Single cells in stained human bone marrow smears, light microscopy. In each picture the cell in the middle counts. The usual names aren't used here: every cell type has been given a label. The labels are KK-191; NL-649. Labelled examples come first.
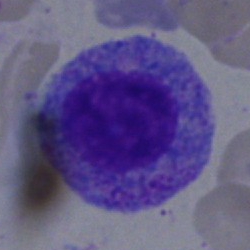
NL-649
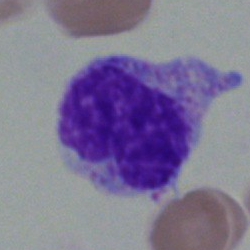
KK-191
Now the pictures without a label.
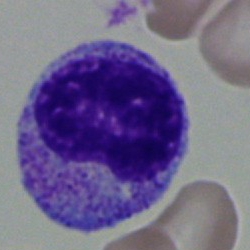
NL-649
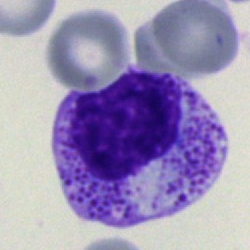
NL-649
